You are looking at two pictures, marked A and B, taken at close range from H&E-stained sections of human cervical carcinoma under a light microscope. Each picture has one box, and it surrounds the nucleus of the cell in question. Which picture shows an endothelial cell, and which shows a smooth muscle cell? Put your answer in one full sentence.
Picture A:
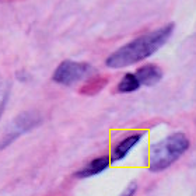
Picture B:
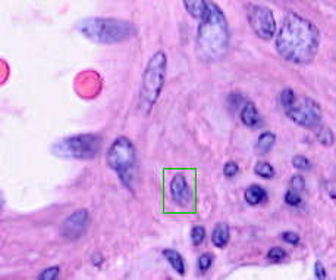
It is picture A that shows an endothelial cell, and picture B that shows a smooth muscle cell.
